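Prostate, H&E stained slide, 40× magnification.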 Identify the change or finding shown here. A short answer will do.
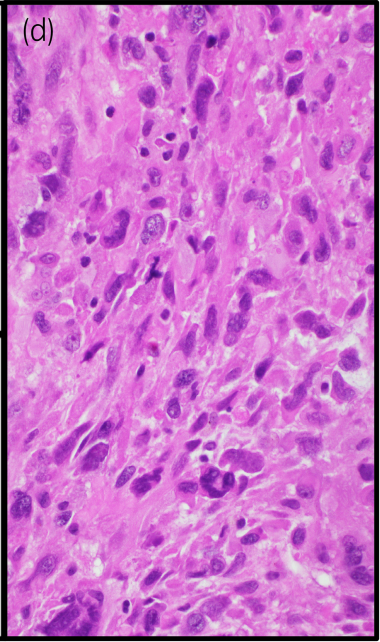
Sarcomatoid areas.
